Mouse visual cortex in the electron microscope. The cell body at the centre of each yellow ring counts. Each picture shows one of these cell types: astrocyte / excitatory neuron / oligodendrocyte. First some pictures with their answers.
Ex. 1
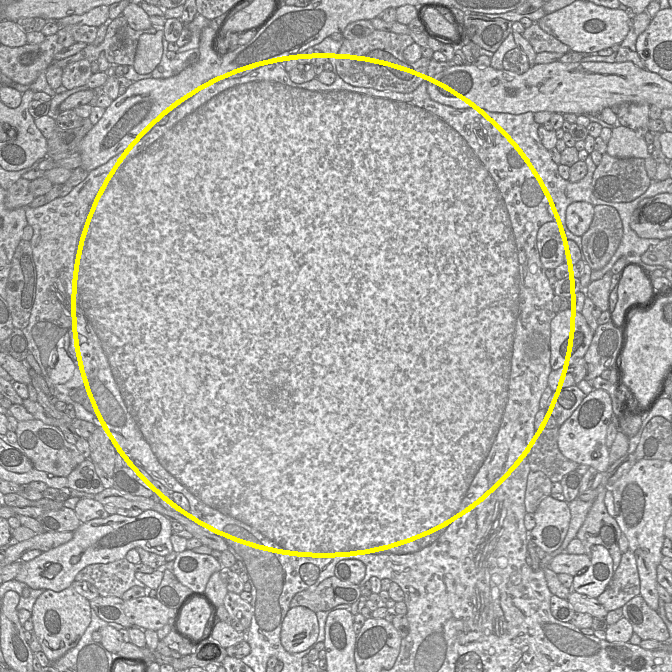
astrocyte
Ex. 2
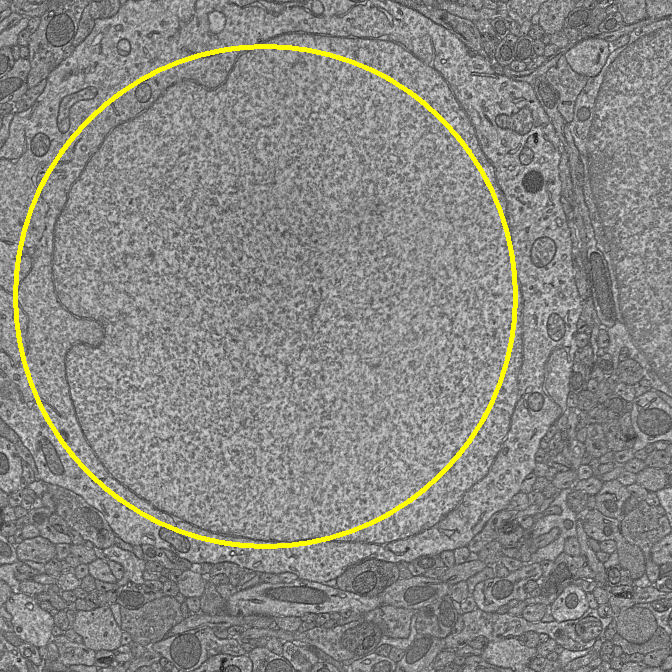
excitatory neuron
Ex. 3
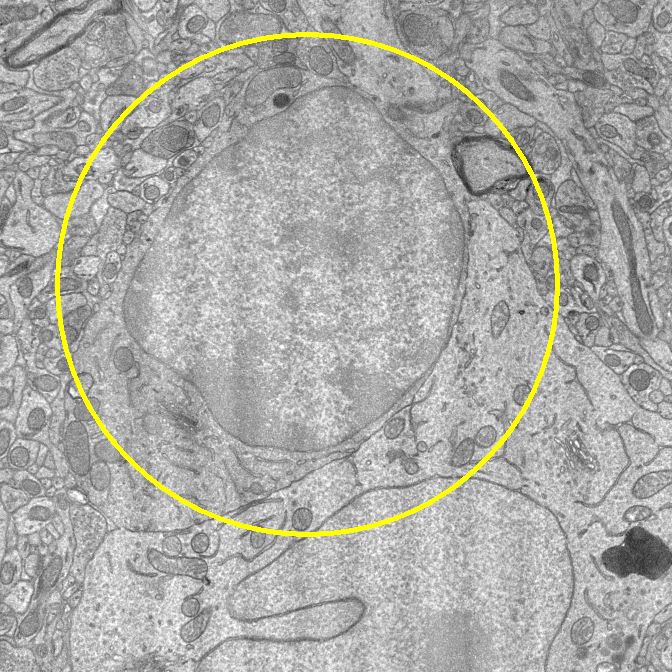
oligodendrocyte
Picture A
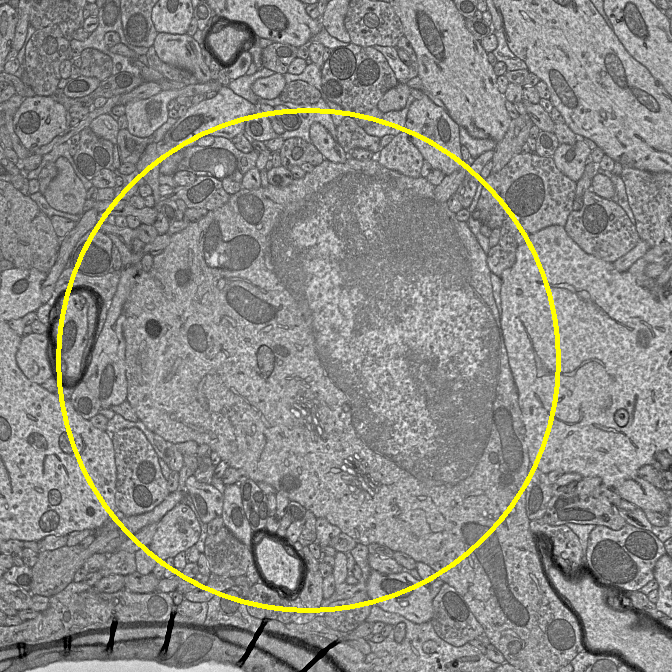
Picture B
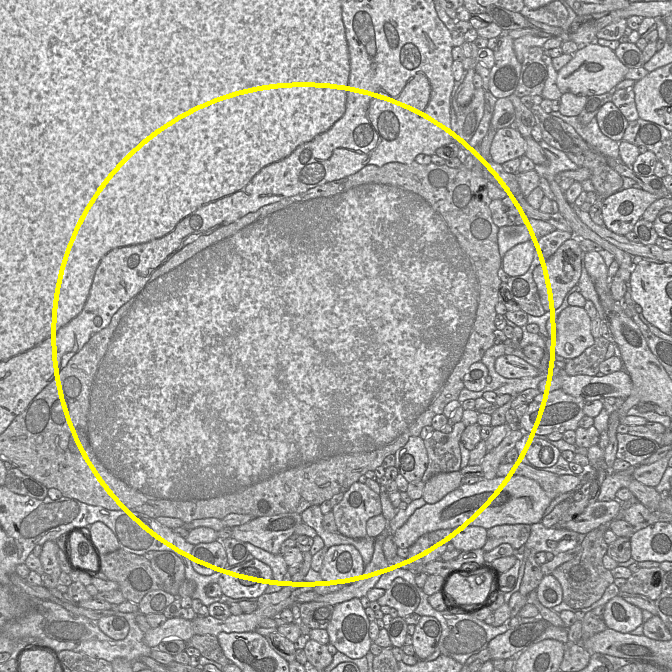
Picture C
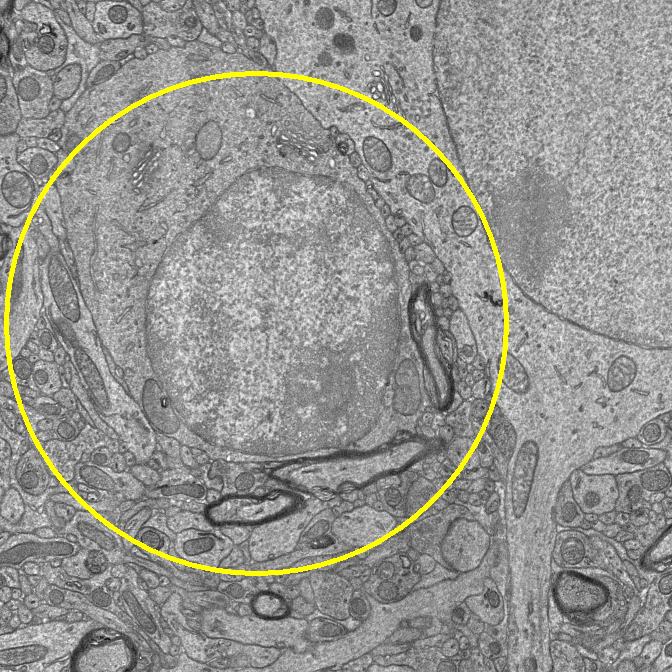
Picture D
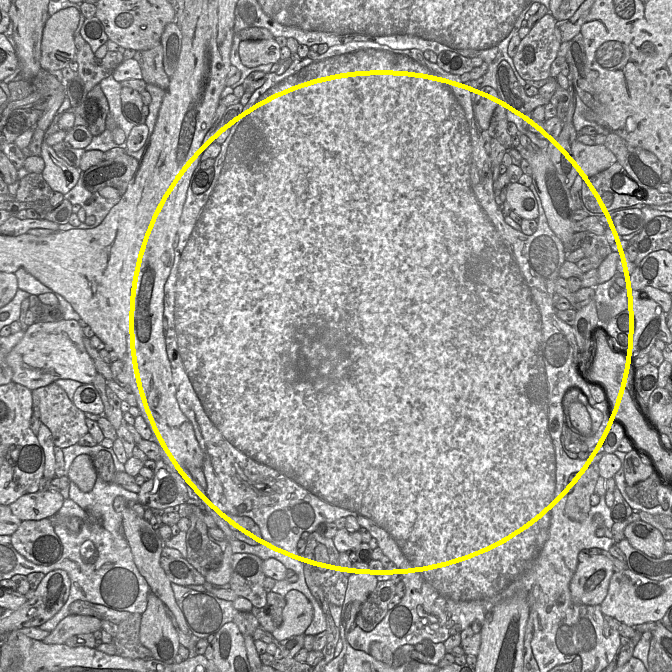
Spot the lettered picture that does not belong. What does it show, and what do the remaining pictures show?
Different: D, astrocyte. Others: oligodendrocyte.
